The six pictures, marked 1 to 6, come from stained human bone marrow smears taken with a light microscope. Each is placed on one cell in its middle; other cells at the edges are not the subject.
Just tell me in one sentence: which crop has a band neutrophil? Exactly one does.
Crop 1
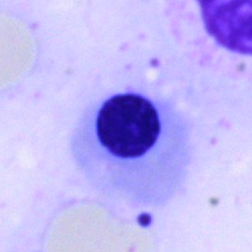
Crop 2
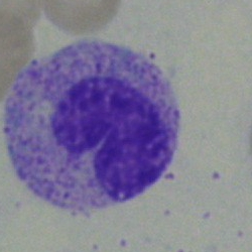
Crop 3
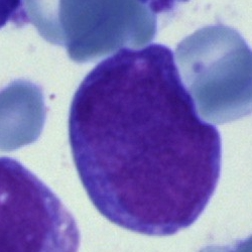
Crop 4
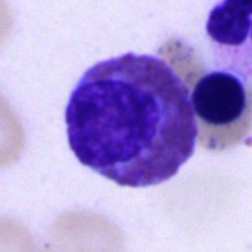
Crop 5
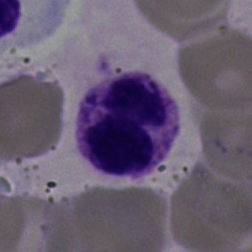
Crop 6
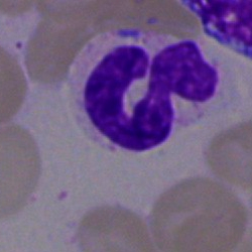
Crop 2 represents a band neutrophil, while the other crops do not.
